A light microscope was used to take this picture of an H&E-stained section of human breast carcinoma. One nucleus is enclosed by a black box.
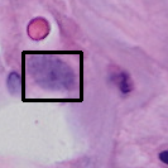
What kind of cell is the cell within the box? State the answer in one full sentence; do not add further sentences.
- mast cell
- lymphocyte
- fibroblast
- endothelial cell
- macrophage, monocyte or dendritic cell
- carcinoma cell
It is an endothelial cell that the cell within the box represents.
